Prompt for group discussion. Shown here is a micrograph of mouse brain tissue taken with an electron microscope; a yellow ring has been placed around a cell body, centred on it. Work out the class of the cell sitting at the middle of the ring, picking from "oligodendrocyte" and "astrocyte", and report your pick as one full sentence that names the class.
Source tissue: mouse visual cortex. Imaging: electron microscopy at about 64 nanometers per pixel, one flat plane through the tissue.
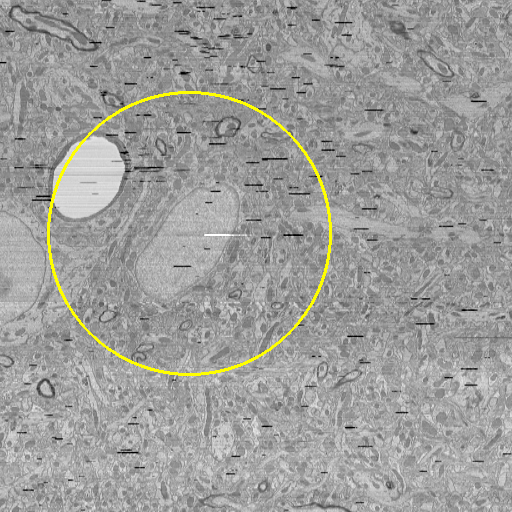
The cell sitting at the middle of the yellow ring is an astrocyte.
